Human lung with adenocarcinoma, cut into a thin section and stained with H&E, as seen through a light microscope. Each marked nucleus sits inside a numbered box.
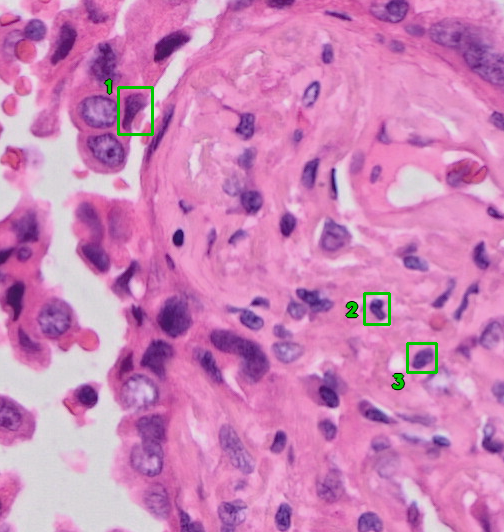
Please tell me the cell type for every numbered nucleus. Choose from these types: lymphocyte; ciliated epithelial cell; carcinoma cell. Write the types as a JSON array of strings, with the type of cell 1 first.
["carcinoma cell", "lymphocyte", "lymphocyte"]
